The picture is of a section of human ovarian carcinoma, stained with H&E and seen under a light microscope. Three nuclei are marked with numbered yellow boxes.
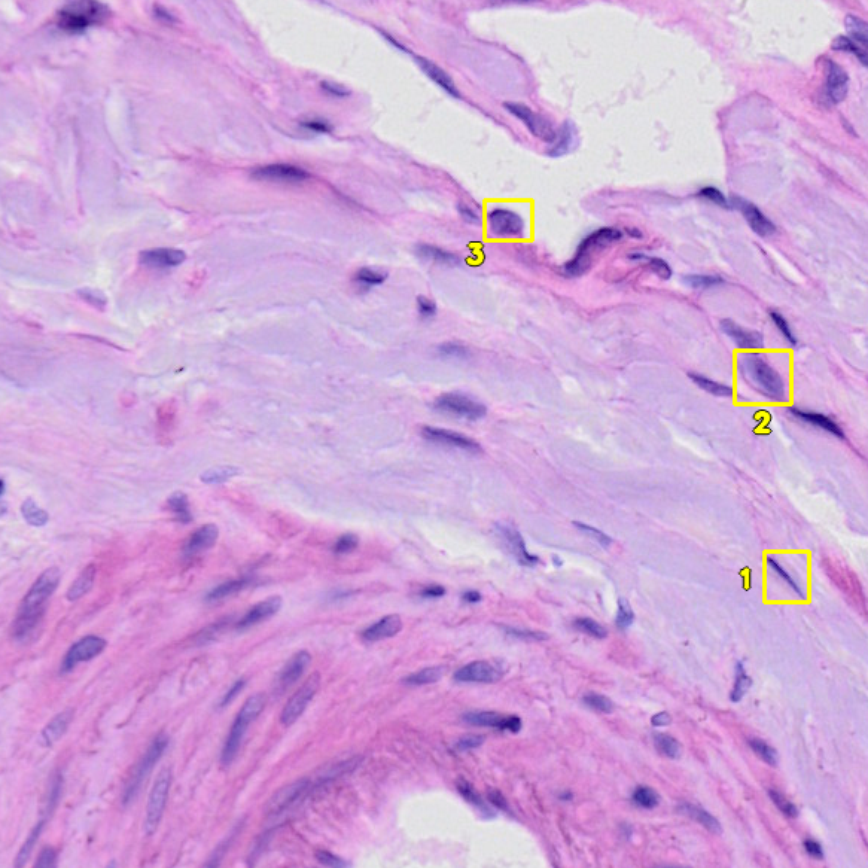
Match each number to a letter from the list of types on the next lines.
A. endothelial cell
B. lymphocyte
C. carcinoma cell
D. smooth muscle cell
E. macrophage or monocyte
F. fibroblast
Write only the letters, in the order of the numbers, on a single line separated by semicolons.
F; A; A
